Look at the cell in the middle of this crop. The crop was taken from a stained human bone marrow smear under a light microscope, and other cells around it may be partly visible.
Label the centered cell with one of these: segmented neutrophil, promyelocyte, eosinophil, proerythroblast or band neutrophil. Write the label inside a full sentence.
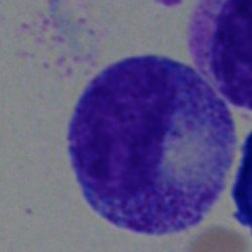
The cell in the middle of this crop is a promyelocyte.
